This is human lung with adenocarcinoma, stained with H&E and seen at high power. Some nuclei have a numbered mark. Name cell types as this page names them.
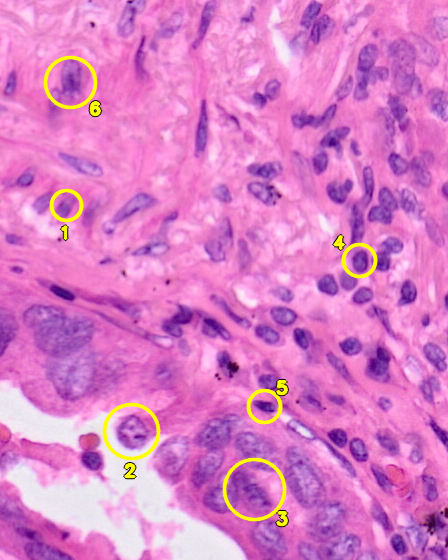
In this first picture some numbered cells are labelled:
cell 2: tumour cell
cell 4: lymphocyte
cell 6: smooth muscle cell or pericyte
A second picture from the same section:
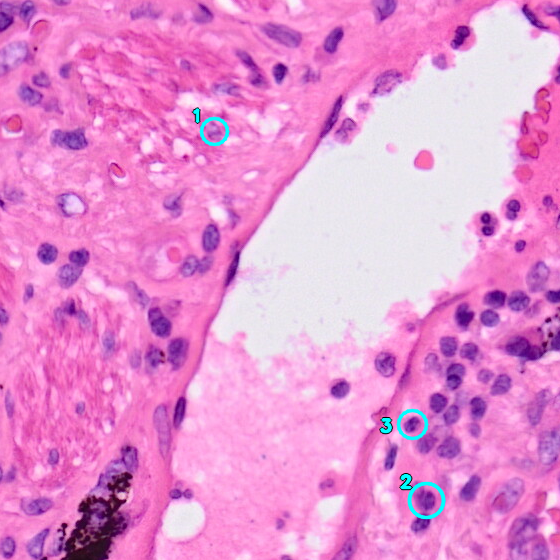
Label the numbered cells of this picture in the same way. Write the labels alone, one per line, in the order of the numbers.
smooth muscle cell or pericyte
lymphocyte
lymphocyte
